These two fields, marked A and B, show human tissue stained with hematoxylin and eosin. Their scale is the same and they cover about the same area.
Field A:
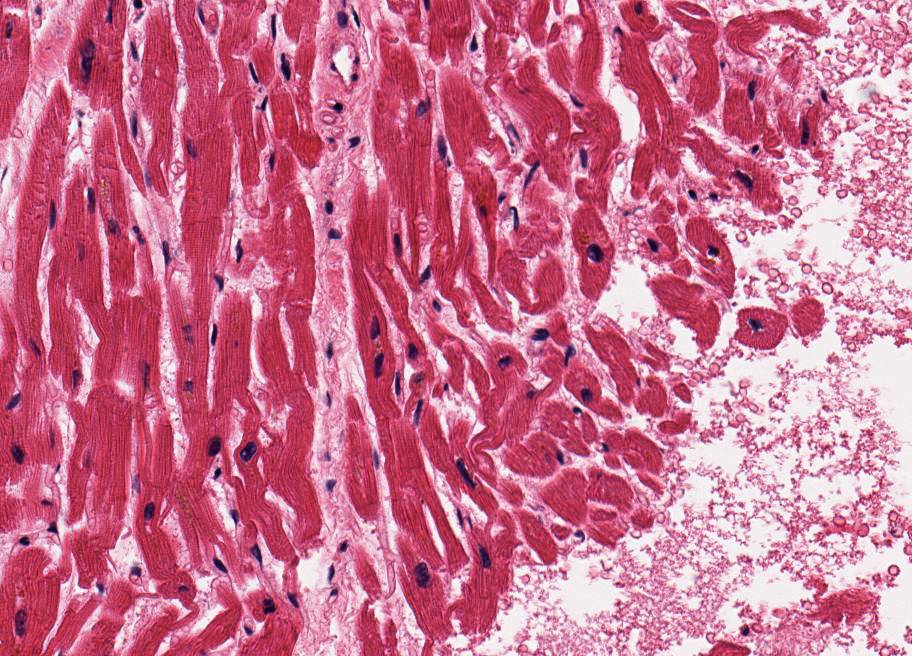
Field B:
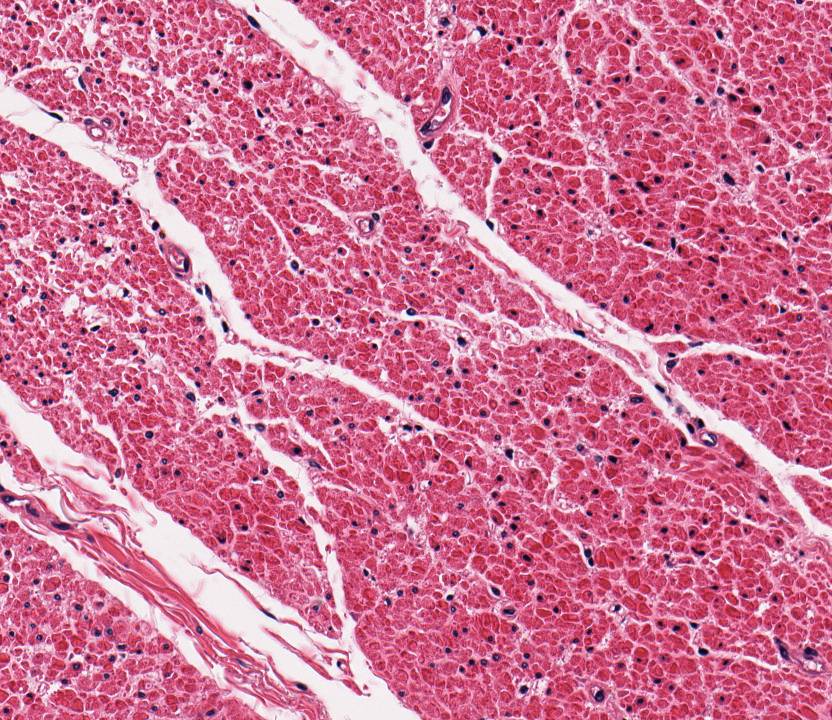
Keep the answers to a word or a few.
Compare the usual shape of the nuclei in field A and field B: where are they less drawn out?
B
